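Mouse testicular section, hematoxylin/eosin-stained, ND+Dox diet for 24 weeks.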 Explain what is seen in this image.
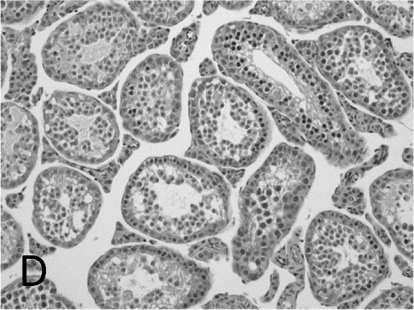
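This section of testis shows seminiferous tubules that are damaged. The lumens contain scattered round cells and pale material, and the bundles of sperm tails are absent.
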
